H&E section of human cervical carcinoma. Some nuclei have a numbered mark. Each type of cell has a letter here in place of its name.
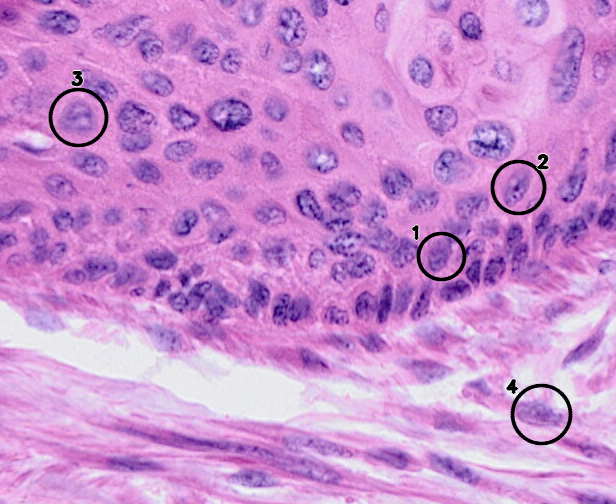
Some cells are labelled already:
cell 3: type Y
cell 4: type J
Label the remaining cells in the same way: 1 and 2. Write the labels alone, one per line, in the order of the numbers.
type Y
type Y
